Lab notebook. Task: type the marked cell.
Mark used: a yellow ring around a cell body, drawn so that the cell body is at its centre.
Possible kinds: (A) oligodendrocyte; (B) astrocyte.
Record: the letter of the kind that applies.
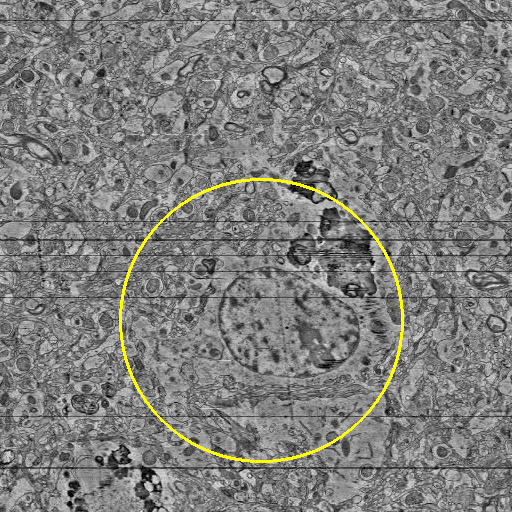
B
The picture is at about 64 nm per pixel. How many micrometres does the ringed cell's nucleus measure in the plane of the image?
In this plane, the nucleus is roughly 9 by 7 micrometres.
